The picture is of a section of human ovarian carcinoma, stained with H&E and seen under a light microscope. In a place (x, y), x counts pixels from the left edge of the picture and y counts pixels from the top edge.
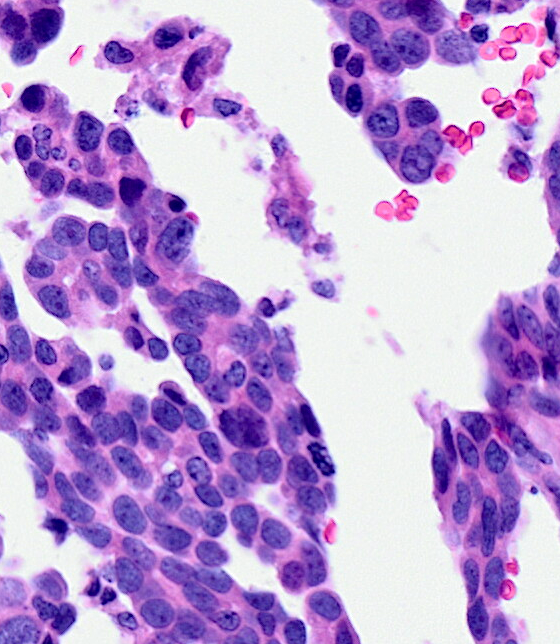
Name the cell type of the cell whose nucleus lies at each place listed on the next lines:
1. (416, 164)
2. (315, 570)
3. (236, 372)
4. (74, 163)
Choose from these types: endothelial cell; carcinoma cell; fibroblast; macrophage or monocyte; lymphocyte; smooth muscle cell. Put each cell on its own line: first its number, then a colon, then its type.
1: carcinoma cell
2: carcinoma cell
3: macrophage or monocyte
4: macrophage or monocyte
